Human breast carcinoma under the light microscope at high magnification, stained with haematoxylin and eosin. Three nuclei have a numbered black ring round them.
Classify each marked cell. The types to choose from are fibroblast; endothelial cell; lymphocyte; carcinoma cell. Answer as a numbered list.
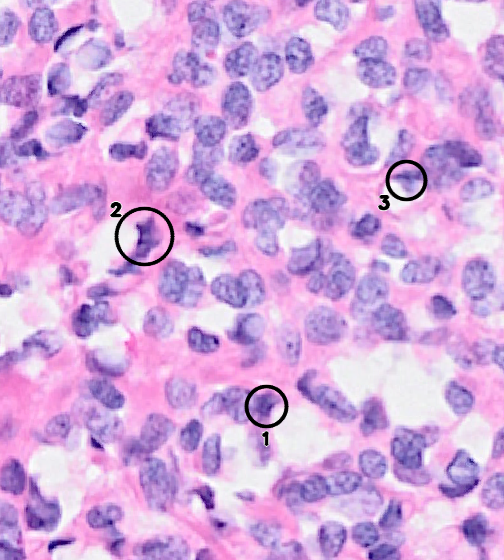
1. carcinoma cell
2. carcinoma cell
3. endothelial cell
